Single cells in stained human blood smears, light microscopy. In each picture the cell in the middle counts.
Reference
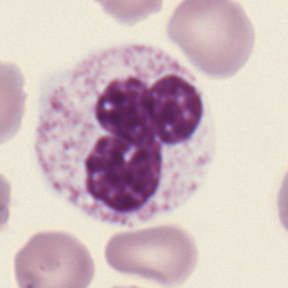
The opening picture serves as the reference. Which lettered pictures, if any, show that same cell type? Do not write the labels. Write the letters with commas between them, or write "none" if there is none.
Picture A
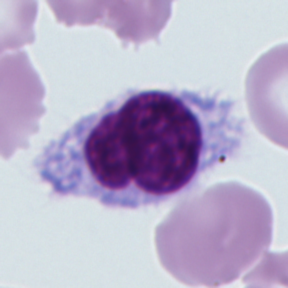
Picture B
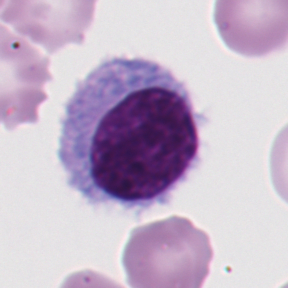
none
